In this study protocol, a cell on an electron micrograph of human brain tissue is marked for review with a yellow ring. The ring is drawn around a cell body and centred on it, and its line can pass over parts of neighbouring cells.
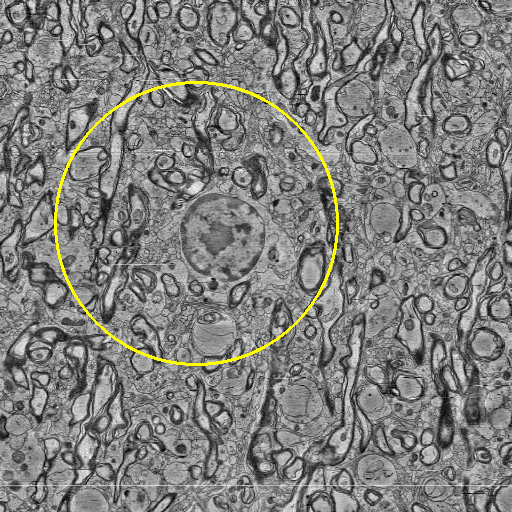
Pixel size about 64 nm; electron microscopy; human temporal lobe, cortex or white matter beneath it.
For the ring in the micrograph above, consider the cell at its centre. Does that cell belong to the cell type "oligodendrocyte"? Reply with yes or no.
no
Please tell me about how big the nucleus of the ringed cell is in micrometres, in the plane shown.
In this plane, roughly 6 micrometres across.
